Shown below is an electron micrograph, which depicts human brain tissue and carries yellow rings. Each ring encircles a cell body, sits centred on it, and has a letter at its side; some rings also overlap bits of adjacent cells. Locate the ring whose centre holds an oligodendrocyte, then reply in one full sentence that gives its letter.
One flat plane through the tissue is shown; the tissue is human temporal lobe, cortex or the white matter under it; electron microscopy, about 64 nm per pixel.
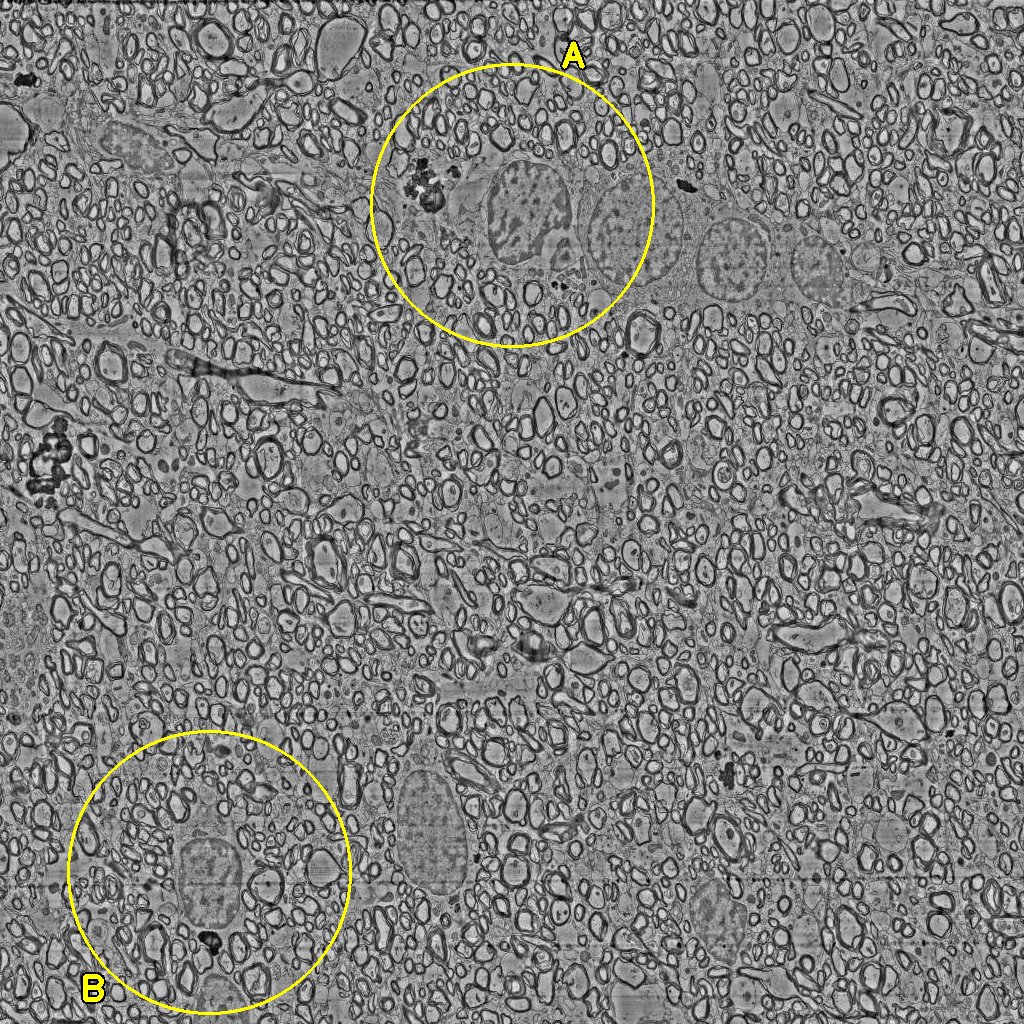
The ring centred on the cell asked for is the one marked B.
